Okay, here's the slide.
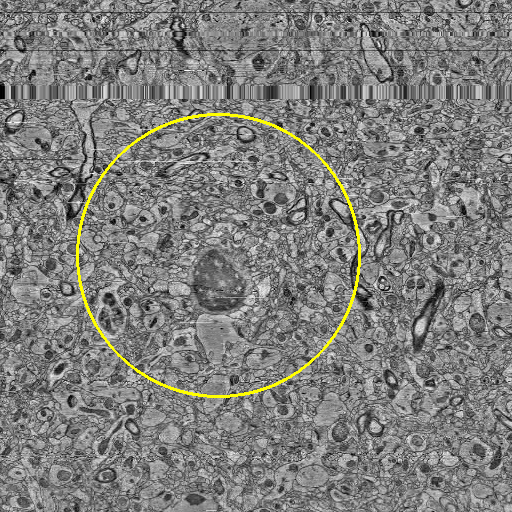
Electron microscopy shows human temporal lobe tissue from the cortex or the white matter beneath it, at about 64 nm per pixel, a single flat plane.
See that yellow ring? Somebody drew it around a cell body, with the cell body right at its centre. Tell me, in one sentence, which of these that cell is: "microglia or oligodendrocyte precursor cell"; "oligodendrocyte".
The cell in the middle of the ring is an oligodendrocyte.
